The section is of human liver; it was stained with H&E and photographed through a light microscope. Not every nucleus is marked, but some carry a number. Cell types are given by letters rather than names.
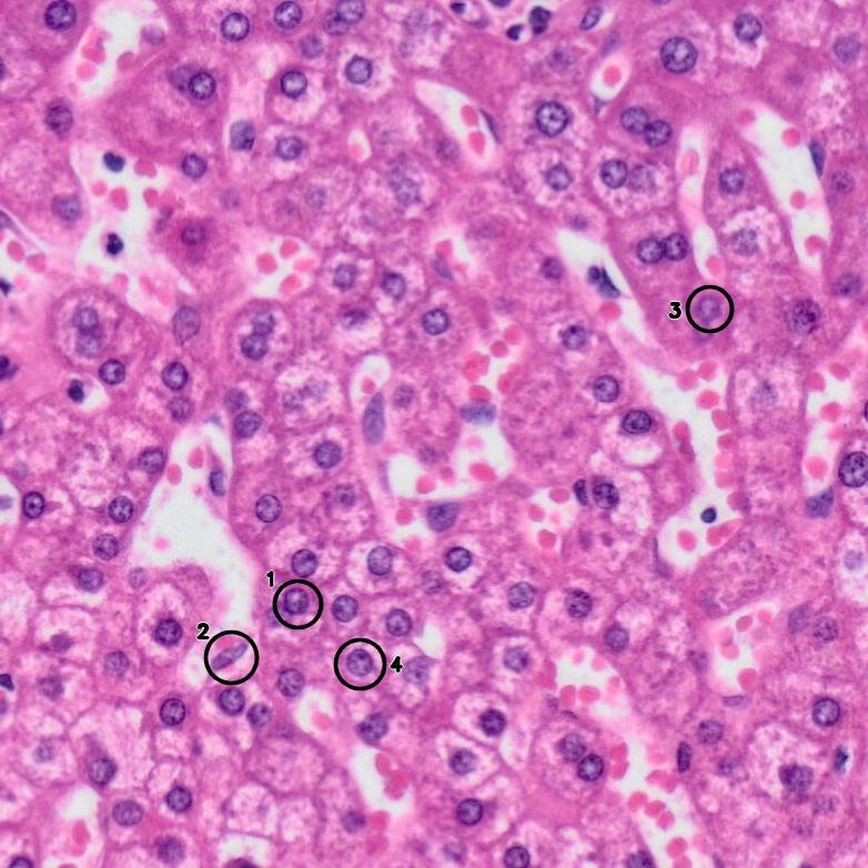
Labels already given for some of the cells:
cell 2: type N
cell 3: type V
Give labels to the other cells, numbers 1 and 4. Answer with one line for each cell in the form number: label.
1: type V
4: type V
